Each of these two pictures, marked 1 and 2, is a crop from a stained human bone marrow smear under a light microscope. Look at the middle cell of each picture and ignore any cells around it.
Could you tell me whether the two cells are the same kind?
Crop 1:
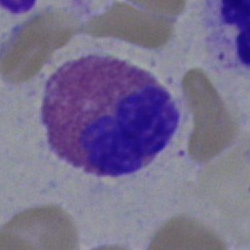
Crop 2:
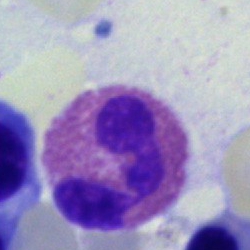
yes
